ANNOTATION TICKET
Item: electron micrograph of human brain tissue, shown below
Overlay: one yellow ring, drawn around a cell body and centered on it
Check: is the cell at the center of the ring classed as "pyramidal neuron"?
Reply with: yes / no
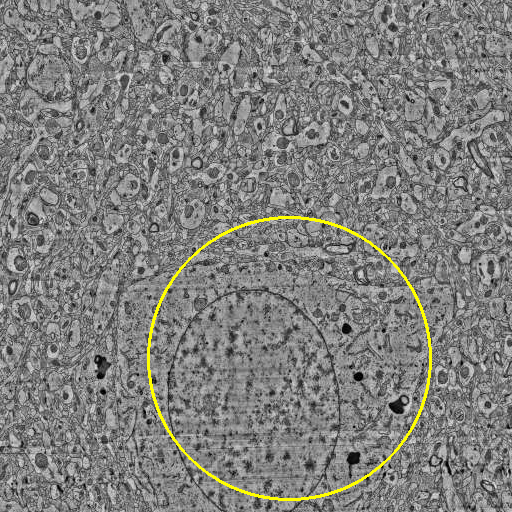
yes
